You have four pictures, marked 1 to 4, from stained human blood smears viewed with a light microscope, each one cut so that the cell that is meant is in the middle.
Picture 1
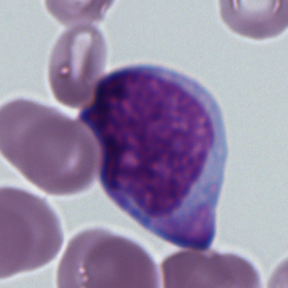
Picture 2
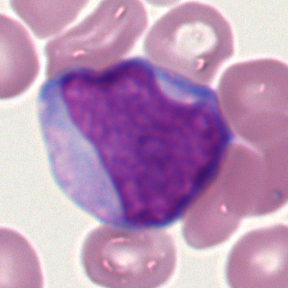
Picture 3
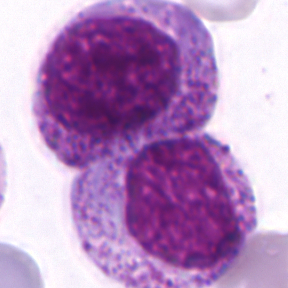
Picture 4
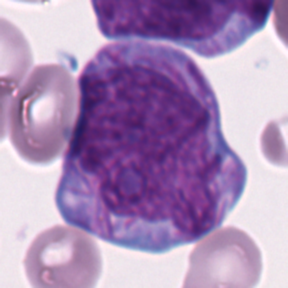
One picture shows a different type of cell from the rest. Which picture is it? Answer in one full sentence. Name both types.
Picture 3 is the odd one out: it shows a myelocyte, while the others show atypical promyelocytes.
